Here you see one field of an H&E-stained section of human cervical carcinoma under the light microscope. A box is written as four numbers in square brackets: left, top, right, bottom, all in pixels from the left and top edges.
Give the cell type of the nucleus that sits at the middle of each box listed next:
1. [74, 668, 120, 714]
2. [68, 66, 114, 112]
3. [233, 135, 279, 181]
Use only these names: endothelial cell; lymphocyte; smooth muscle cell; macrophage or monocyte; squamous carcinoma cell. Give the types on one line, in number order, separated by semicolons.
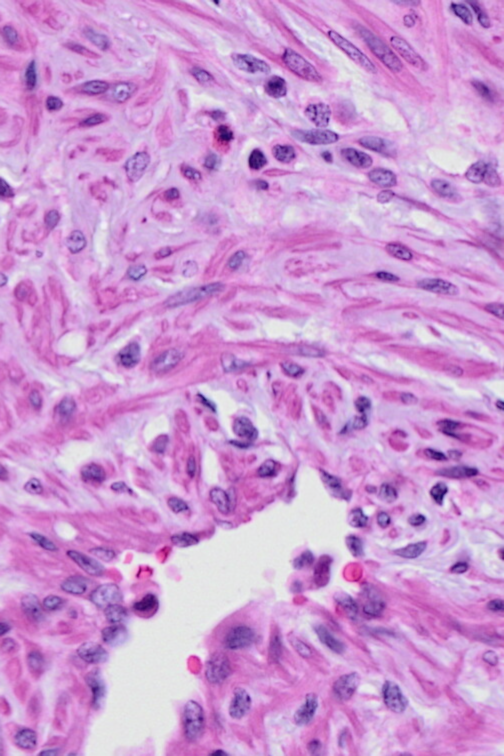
endothelial cell; smooth muscle cell; lymphocyte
